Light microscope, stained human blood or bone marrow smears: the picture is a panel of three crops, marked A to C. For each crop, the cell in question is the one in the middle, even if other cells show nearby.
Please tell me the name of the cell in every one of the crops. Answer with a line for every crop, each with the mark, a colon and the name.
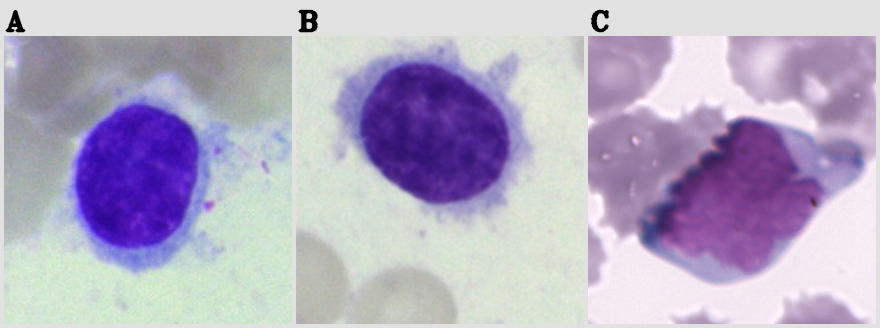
A: hairy cell
B: hairy cell
C: blast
